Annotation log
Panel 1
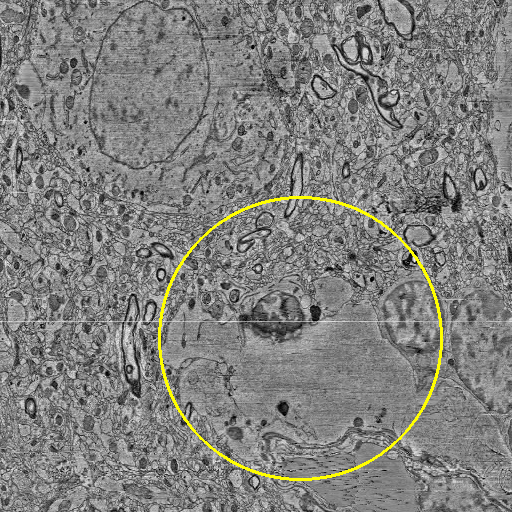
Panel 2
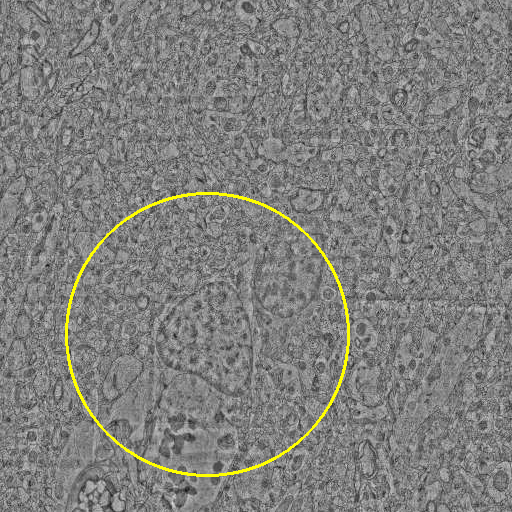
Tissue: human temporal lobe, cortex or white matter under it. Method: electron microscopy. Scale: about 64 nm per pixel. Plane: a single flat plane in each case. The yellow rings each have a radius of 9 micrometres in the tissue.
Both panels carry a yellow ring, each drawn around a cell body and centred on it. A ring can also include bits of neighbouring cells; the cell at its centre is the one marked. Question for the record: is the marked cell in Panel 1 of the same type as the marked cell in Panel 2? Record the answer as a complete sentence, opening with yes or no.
Yes, the marked cells in Panel 1 and Panel 2 are of the same type.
